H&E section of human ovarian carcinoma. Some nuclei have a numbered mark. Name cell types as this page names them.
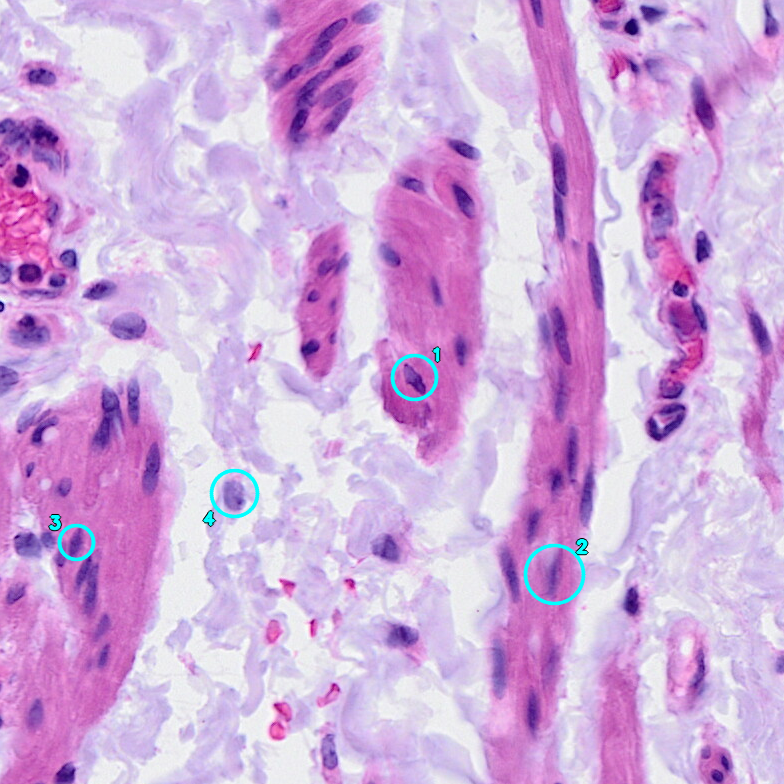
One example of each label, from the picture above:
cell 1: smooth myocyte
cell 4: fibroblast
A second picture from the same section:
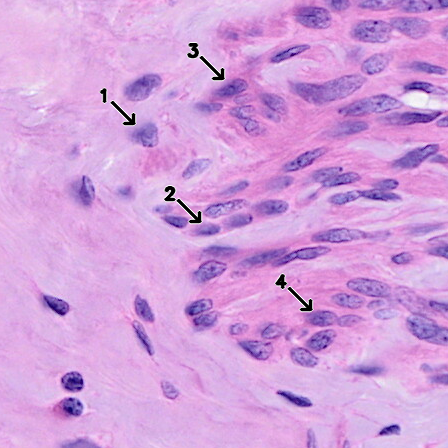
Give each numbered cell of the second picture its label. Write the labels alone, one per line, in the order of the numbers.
fibroblast
smooth myocyte
smooth myocyte
smooth myocyte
